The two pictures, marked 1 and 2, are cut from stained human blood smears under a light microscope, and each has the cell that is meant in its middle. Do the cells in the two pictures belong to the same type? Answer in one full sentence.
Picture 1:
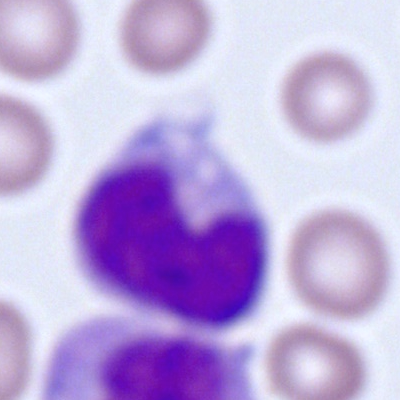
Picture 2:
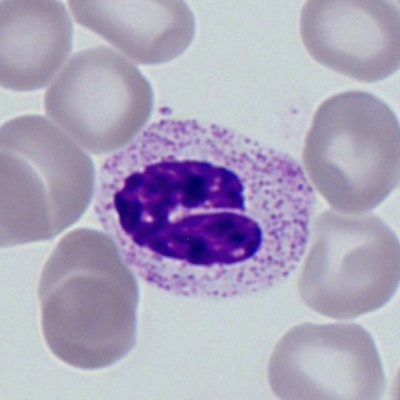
No; the cell in picture 1 is a monocyte, while the one in picture 2 is a band neutrophil.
